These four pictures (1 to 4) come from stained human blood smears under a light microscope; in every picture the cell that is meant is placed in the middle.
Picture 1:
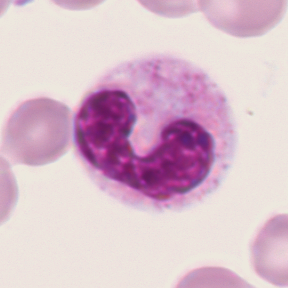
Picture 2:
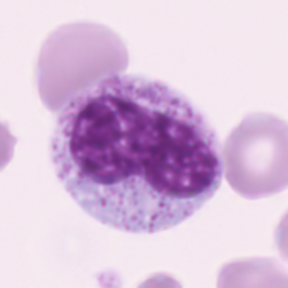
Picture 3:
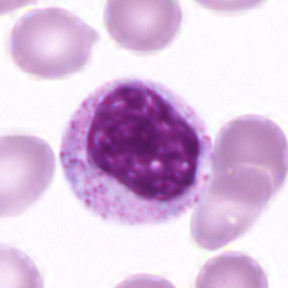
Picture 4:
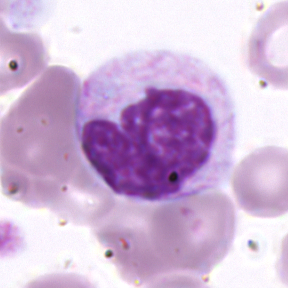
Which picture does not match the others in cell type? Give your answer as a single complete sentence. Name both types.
Unlike the rest, which show band neutrophils, picture 3 shows a metamyelocyte.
